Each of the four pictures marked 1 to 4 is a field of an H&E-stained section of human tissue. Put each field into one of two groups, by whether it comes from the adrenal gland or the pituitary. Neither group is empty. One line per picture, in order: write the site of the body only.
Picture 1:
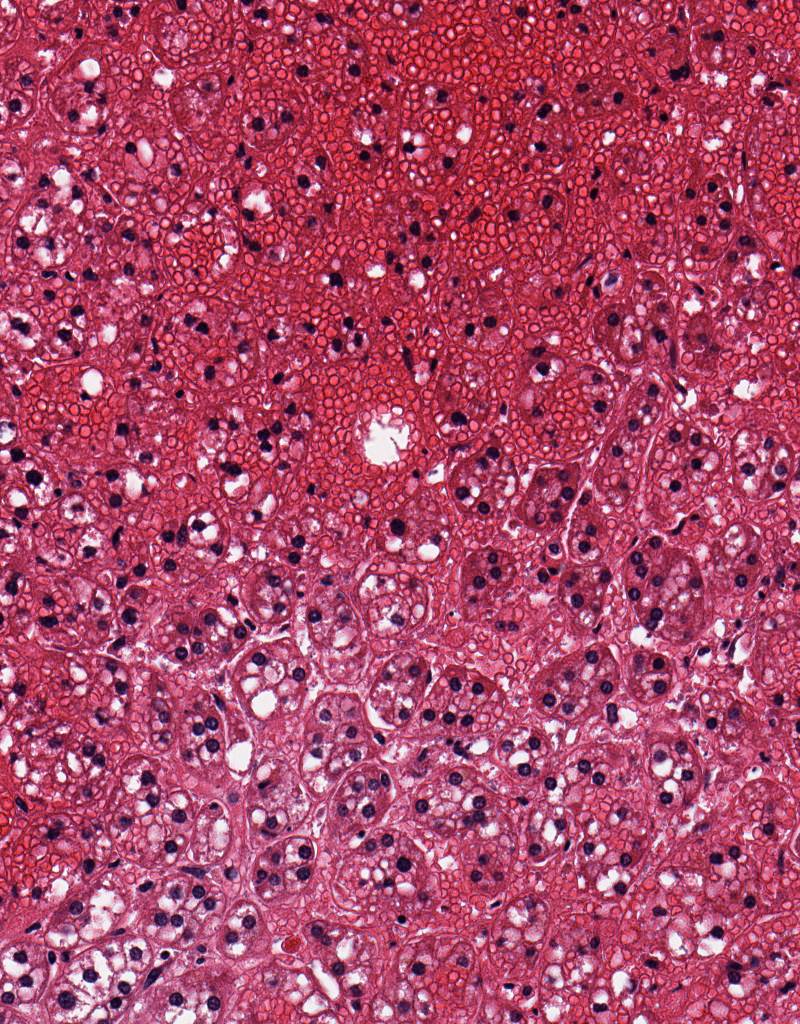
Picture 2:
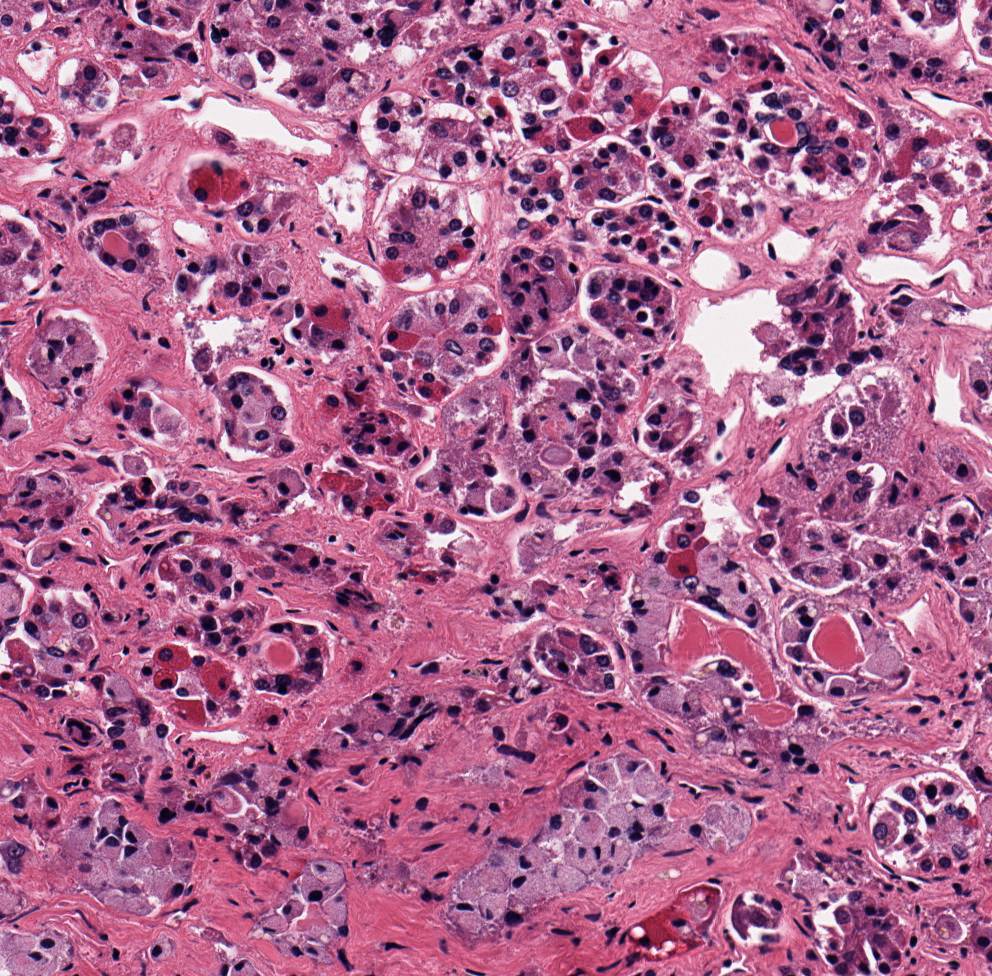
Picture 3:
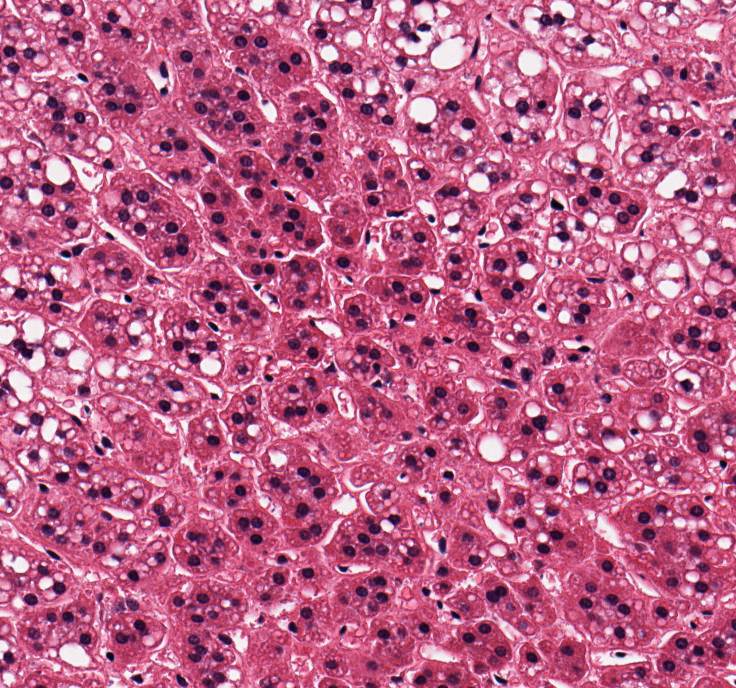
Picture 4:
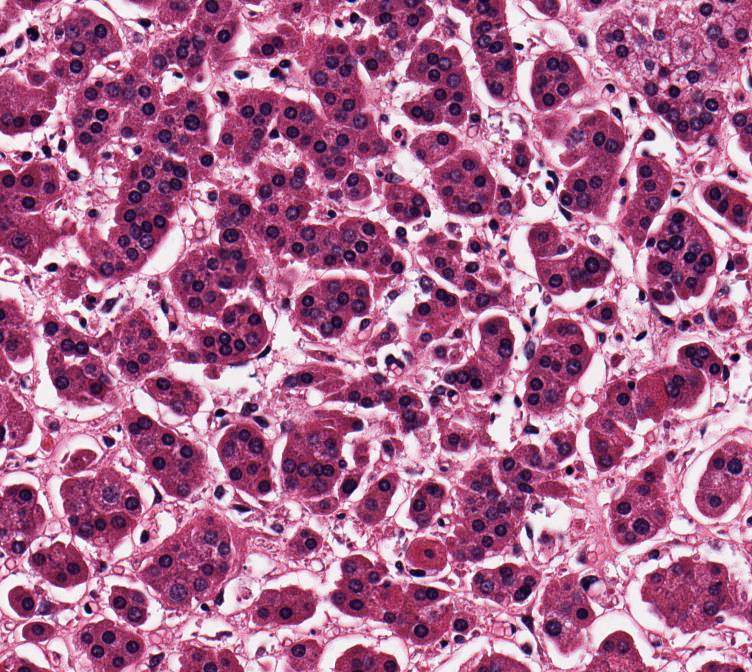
adrenal gland
pituitary
adrenal gland
adrenal gland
